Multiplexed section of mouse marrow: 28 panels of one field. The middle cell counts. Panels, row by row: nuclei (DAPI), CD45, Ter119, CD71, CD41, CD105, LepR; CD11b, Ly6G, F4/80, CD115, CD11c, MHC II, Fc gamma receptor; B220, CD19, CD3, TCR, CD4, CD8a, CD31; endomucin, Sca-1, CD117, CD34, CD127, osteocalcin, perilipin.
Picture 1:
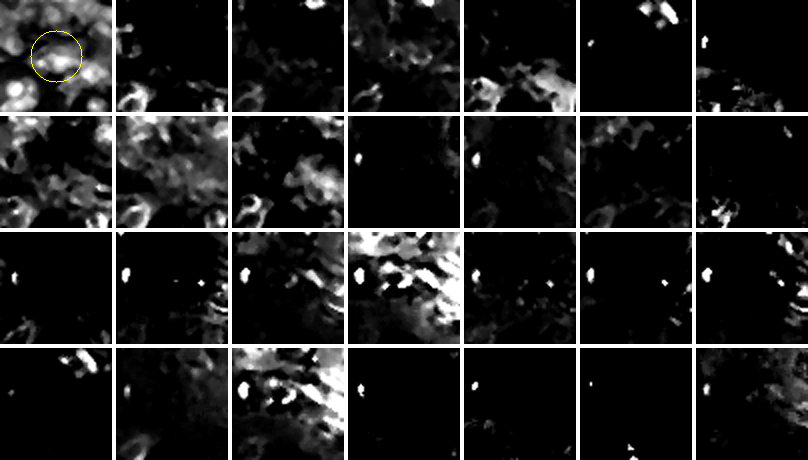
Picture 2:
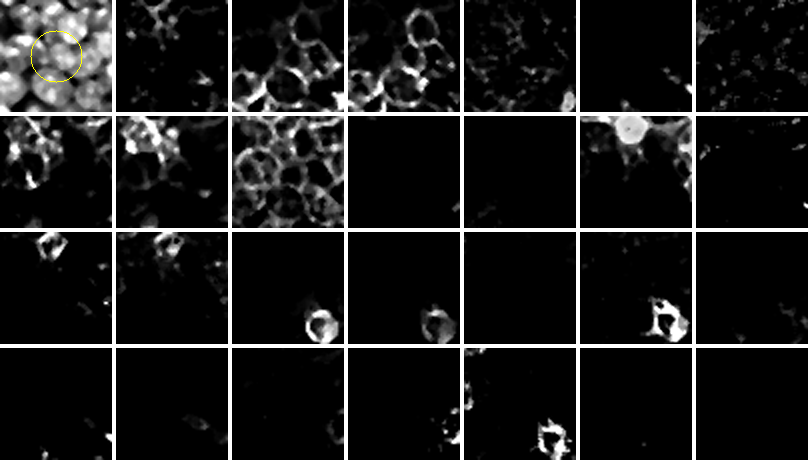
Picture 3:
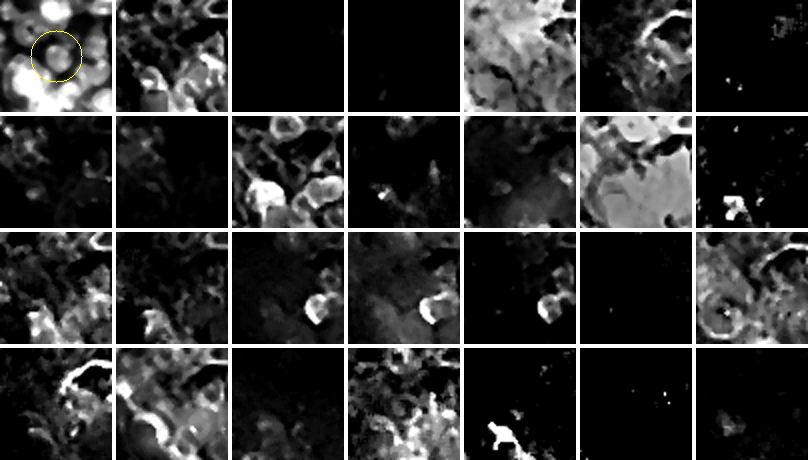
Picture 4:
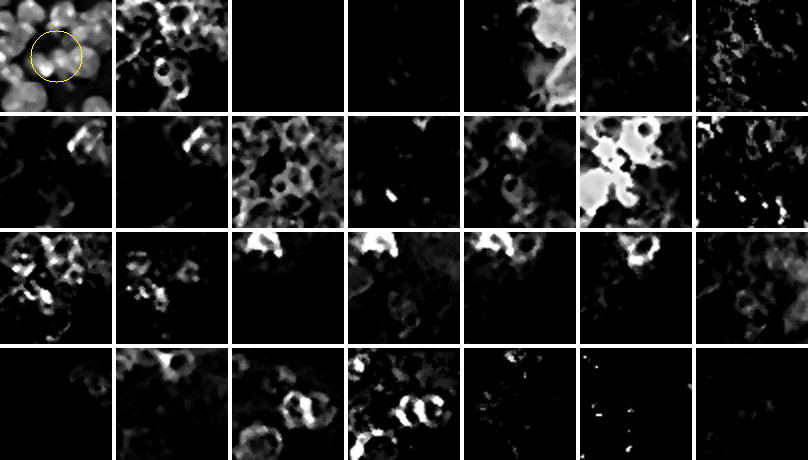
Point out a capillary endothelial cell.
That is picture 3.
